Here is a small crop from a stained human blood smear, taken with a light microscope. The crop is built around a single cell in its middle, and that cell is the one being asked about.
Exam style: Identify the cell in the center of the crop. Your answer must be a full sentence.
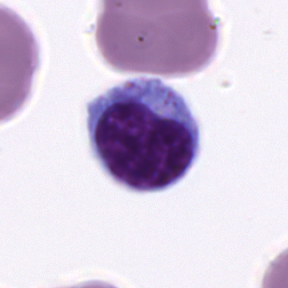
The single cell at the center of the crop is a plasma cell.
